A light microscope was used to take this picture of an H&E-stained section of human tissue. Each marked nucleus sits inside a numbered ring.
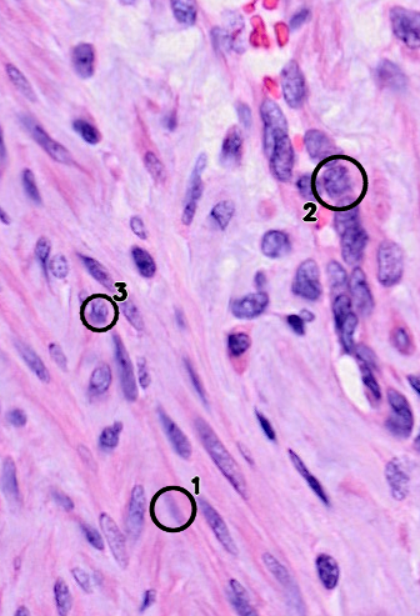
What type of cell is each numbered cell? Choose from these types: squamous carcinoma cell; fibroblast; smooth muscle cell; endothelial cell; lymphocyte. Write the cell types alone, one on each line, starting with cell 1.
smooth muscle cell
endothelial cell
smooth muscle cell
